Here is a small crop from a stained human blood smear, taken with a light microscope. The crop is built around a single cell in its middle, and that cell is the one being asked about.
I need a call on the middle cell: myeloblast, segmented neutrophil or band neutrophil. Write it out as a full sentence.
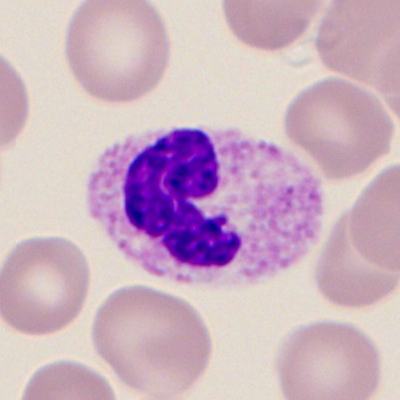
Among the cells in view, the one in the middle is a band neutrophil.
